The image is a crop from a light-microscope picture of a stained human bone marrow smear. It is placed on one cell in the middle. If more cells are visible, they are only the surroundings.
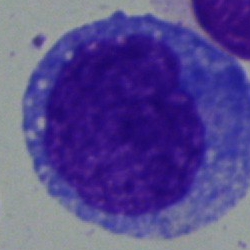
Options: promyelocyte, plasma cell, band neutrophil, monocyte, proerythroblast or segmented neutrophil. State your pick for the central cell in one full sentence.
Looking at the middle of the crop, the cell there is a promyelocyte.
